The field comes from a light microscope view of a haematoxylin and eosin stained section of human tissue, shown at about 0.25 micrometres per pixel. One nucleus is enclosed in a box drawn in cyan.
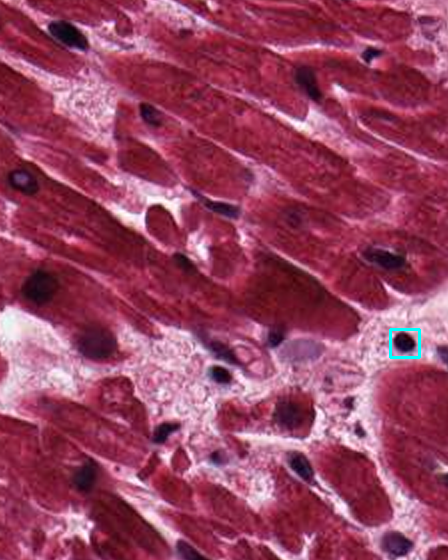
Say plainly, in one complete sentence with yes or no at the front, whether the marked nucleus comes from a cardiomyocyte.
No, the marked nucleus is the nucleus of a supporting cell rather than of a cardiomyocyte.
